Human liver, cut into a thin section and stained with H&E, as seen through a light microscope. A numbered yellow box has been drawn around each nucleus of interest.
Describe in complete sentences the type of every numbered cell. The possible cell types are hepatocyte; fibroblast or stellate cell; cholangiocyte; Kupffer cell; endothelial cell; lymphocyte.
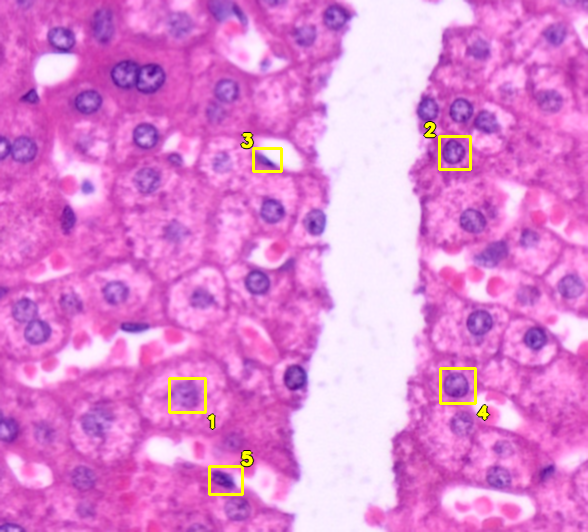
Cells 1, 2 and 4 are hepatocytes. Cell 3 is an endothelial cell. Cell 5 is a fibroblast or stellate cell.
